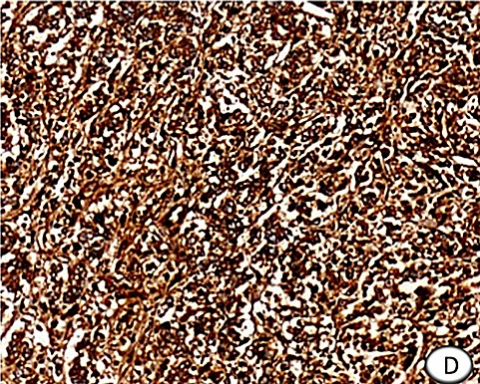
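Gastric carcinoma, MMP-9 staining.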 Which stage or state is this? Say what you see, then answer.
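Tumor cells grow in diffuse solid sheets. No glands or nests are formed. So: poorly differentiated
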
